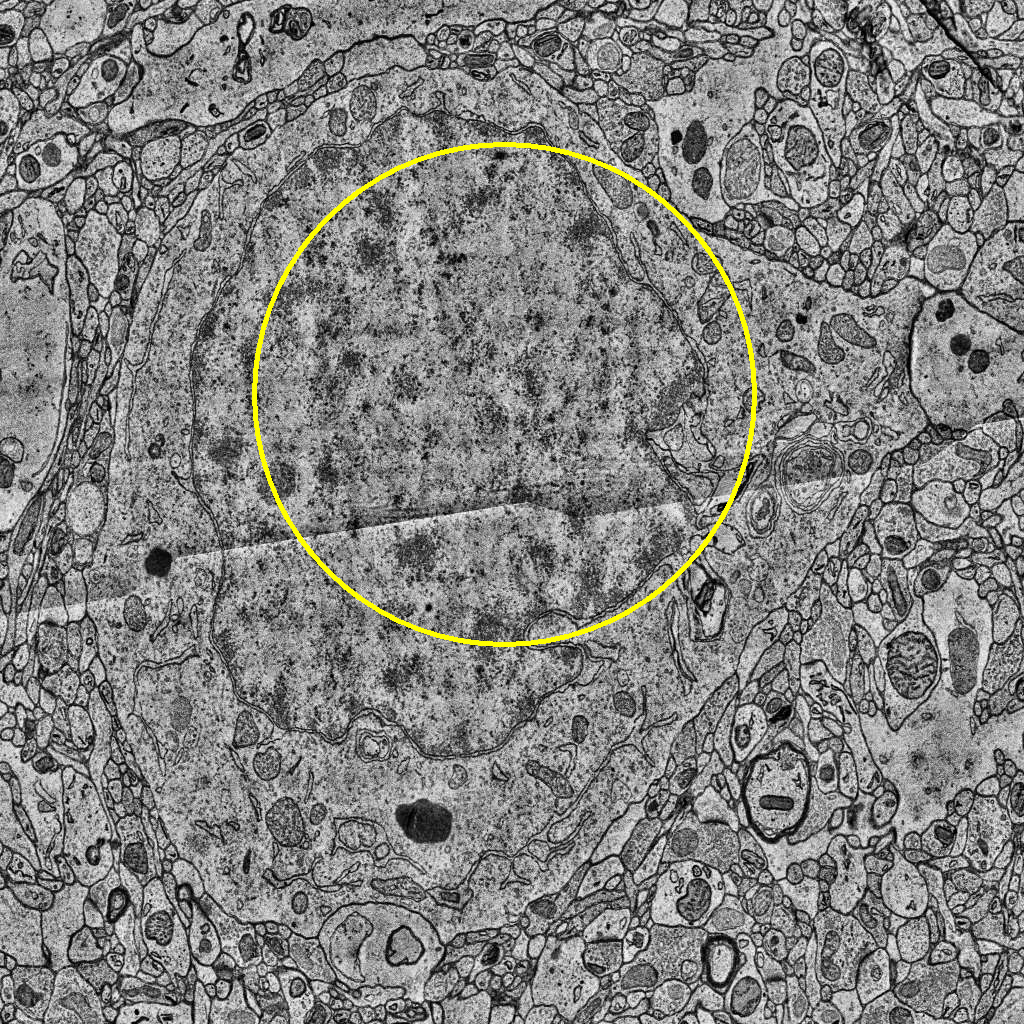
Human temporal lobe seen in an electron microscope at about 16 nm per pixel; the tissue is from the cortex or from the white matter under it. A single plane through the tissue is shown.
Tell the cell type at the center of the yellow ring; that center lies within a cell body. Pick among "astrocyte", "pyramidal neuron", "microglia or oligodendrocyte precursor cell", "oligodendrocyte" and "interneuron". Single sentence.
The ring's center lies in the body of an interneuron.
